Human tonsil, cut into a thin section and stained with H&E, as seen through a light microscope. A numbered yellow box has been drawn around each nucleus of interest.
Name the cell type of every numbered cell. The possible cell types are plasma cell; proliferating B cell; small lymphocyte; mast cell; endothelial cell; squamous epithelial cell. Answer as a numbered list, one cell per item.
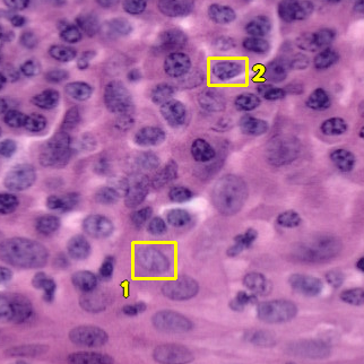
1. squamous epithelial cell
2. plasma cell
